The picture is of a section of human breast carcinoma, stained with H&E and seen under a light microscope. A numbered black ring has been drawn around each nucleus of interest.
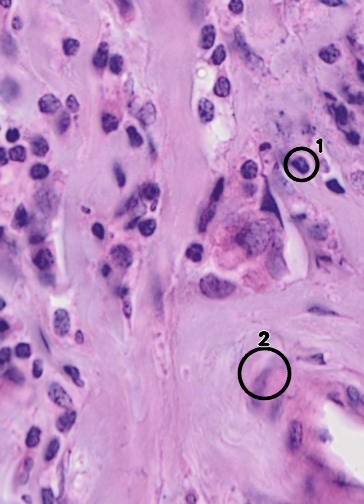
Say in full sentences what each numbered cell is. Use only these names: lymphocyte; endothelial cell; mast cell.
Cell 1 is a lymphocyte and cell 2 is an endothelial cell.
